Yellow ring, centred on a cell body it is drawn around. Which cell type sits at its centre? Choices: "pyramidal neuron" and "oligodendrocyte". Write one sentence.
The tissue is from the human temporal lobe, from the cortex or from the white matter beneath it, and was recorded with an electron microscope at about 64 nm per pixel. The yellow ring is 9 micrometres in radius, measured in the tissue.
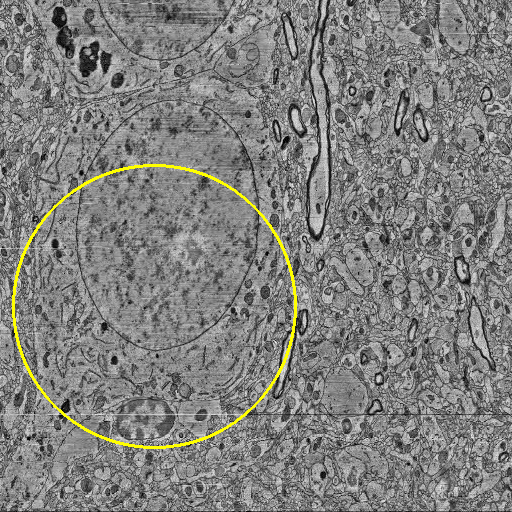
At the centre of the ring sits a pyramidal neuron.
